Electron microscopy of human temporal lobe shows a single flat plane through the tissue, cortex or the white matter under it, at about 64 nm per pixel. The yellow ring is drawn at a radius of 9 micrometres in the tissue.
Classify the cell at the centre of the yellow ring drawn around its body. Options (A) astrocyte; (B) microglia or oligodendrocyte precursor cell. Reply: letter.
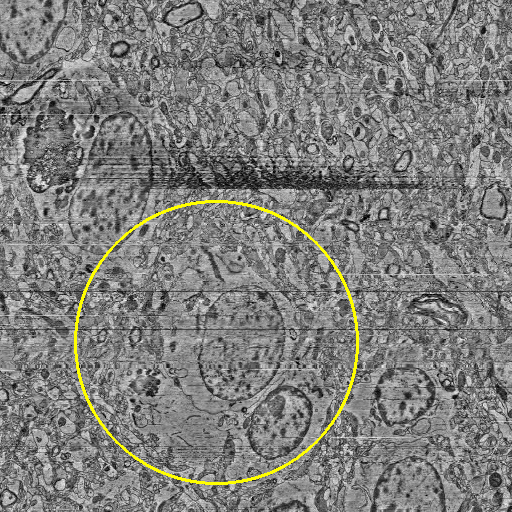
A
